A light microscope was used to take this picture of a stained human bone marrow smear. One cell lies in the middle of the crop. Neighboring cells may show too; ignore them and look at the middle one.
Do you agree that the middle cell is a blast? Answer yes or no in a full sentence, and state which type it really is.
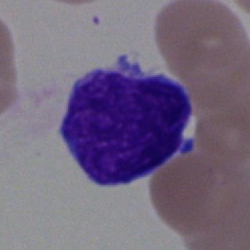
Yes, the identity of the central cell is that of a blast.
